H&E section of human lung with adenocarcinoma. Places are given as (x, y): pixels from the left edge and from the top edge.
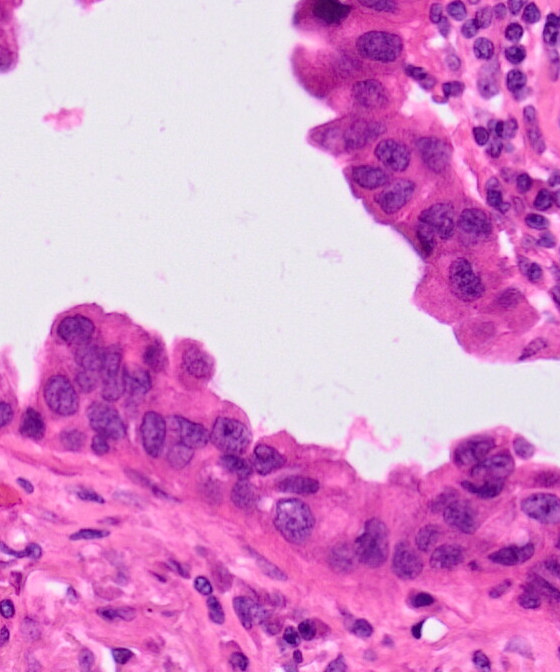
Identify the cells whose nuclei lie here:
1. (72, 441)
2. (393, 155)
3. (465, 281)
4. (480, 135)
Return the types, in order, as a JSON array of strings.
["carcinoma cell", "carcinoma cell", "carcinoma cell", "lymphocyte"]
